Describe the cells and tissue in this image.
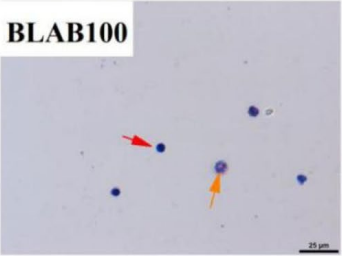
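A few scattered white blood cells lie well apart on a pale background. Most are small round cells whose dense dark blue nucleus fills nearly the whole cell, as in lymphocytes. One cell is different, with a purple nucleus set in pinkish-red cytoplasm, which fits an eosinophil.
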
